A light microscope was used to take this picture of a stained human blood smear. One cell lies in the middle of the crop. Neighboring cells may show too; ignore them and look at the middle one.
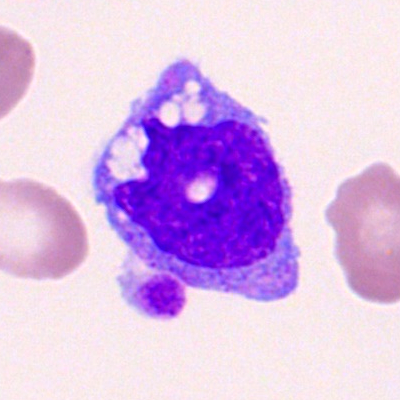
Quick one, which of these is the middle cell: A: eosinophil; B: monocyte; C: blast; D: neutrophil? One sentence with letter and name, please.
Option B is the correct one; it names the central cell as a monocyte.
